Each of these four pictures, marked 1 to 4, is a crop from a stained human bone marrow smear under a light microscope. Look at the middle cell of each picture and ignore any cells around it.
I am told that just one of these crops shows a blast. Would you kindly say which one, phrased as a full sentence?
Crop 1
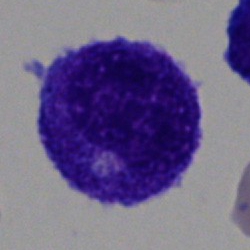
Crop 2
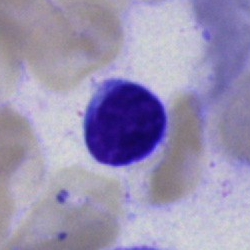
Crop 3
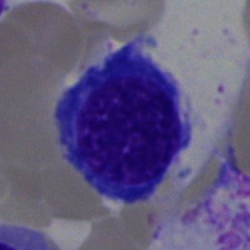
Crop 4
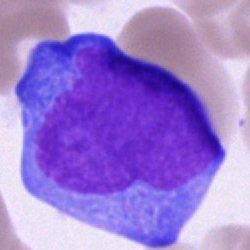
It is in crop 4 that a blast is shown.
